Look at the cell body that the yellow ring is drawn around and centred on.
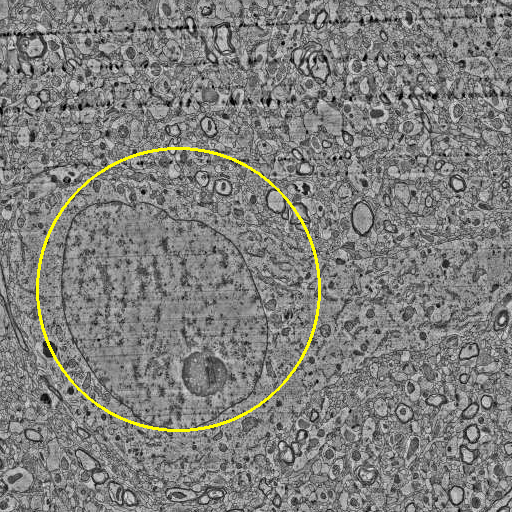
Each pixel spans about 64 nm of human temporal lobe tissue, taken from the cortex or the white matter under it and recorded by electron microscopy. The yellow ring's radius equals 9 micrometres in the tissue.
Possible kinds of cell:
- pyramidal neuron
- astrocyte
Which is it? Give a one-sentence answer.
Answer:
The centred cell body is that of a pyramidal neuron.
